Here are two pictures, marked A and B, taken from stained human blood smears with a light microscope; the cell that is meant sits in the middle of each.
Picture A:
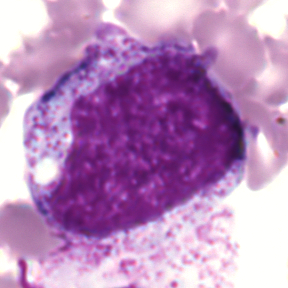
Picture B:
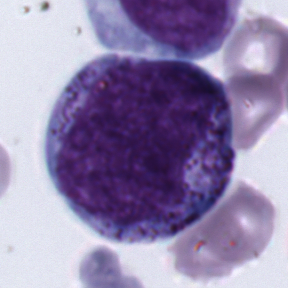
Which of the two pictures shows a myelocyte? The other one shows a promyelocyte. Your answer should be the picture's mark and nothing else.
A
